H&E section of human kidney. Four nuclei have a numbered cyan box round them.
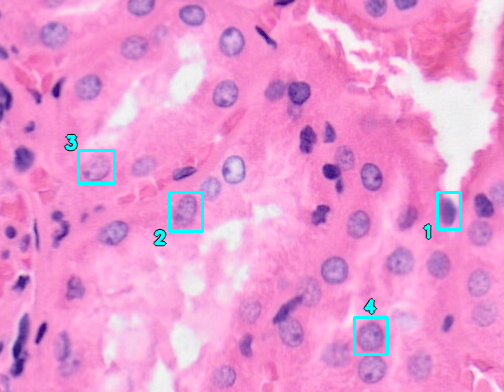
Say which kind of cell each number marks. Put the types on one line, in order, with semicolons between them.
endothelial cell; proximal tubule cell; proximal tubule cell; proximal tubule cell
